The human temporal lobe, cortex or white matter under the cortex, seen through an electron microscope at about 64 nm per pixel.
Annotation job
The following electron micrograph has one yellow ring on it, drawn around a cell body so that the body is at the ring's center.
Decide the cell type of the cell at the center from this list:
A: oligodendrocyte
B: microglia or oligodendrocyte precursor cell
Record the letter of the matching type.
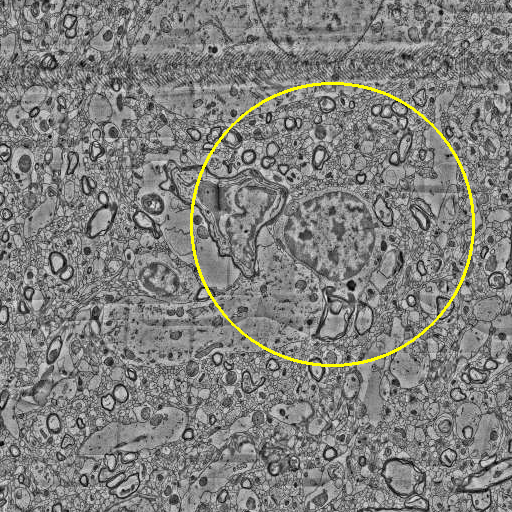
A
